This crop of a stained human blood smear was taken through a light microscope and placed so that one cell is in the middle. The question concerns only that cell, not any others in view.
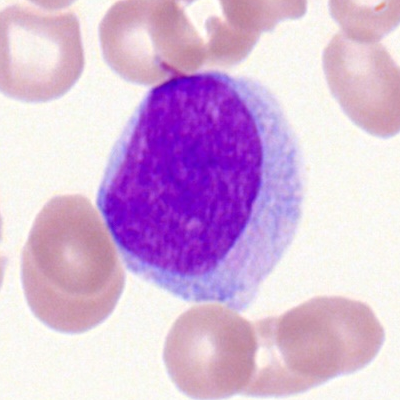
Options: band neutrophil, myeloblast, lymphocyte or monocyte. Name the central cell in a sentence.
The middle position in this crop is taken by a myeloblast.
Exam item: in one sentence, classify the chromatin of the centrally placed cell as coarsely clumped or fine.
The chromatin is delicate and fine, lacking coarse clumping entirely.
